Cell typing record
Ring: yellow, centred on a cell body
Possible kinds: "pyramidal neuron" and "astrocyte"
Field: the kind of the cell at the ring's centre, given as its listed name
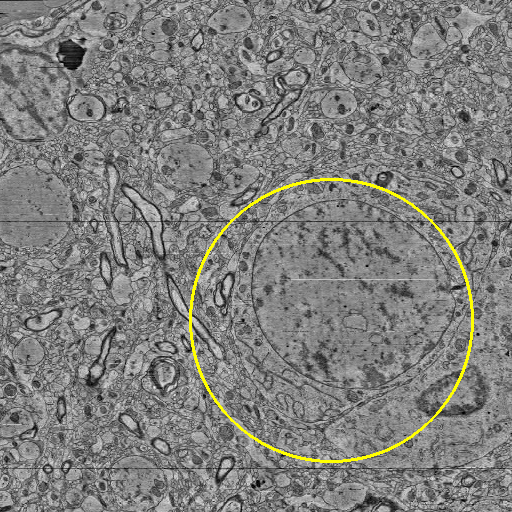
pyramidal neuron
